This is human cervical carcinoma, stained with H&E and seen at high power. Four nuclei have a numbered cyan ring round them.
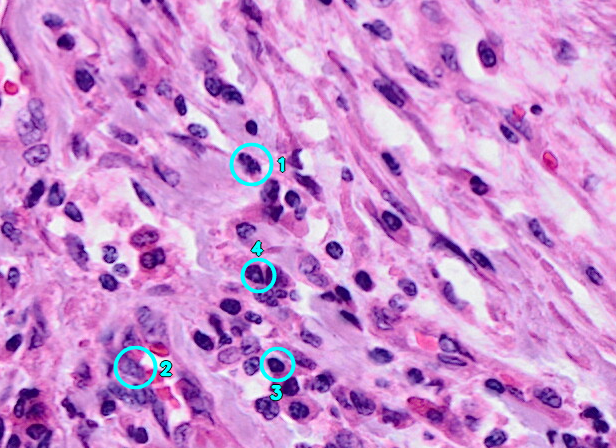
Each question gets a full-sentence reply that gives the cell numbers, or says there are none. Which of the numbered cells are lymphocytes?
The numbers 1, 3 and 4 in this section indicate lymphocytes.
